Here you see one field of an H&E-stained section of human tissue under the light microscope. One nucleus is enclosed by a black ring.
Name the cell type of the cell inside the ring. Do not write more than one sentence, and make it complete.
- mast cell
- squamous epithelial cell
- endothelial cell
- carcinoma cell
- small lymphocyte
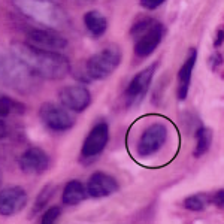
The classification of the cell inside the ring is as a mast cell.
